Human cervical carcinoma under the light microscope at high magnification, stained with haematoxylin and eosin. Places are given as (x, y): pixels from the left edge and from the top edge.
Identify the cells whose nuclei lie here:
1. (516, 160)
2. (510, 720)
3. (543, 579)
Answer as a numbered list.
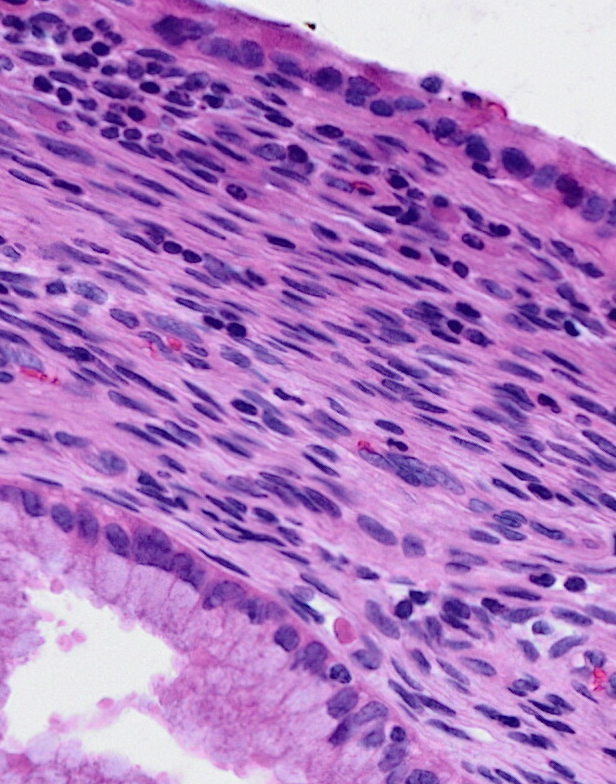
1. secretory epithelial cell
2. lymphocyte
3. lymphocyte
